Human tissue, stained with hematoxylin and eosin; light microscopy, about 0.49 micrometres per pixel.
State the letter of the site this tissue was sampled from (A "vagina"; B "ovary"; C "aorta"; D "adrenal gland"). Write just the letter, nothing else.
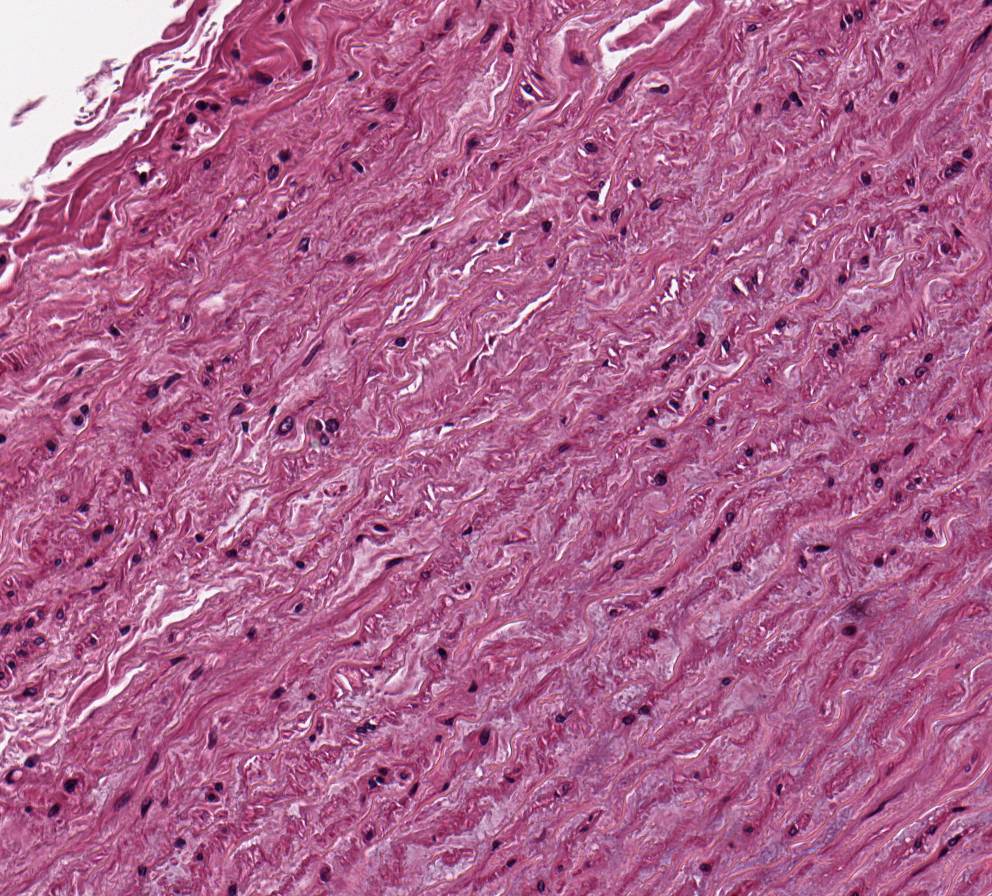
C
